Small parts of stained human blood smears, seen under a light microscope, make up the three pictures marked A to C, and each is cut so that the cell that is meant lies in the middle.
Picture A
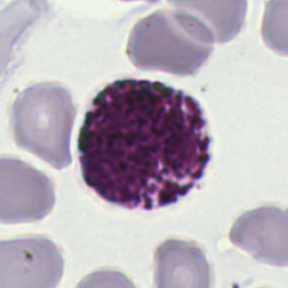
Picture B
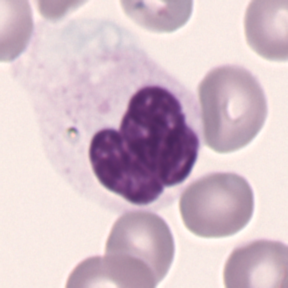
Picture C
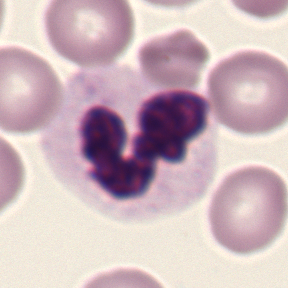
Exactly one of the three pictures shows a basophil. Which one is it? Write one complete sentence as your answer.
The cell in picture A is the basophil.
